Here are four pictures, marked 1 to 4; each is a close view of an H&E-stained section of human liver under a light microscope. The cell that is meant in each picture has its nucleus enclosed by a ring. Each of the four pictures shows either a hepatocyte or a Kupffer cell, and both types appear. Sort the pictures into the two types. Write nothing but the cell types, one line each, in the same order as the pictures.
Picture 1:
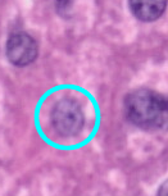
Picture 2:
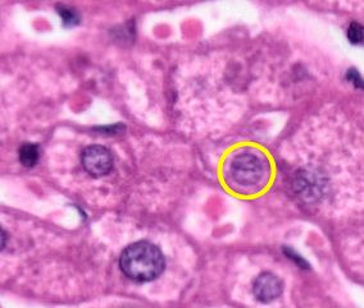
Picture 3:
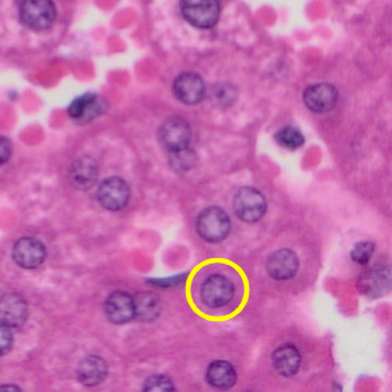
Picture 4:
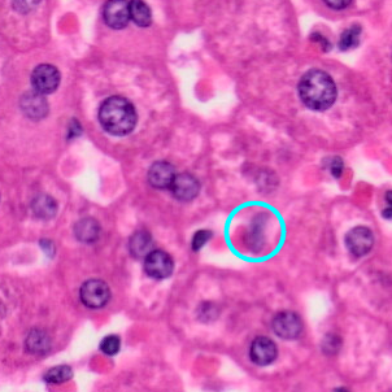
hepatocyte
hepatocyte
hepatocyte
Kupffer cell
